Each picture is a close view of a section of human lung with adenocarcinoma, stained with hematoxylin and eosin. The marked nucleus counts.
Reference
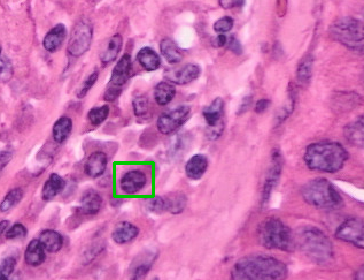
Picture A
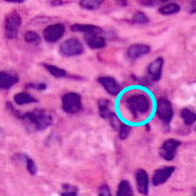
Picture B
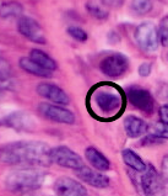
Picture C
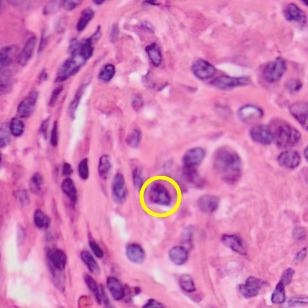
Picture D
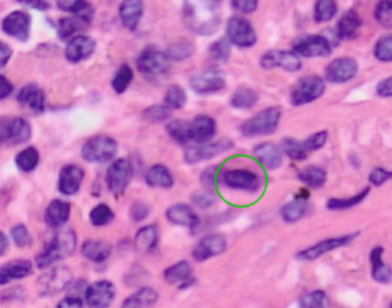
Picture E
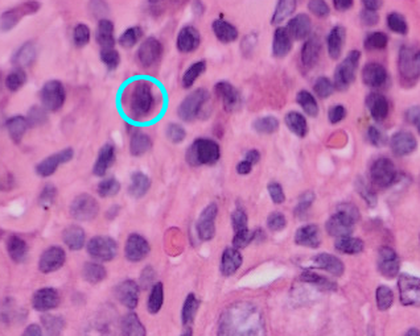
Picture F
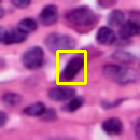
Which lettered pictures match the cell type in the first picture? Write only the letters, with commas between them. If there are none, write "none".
A, B, C, D, E, F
